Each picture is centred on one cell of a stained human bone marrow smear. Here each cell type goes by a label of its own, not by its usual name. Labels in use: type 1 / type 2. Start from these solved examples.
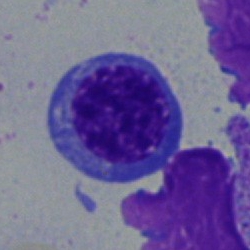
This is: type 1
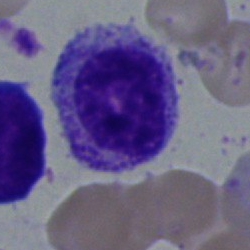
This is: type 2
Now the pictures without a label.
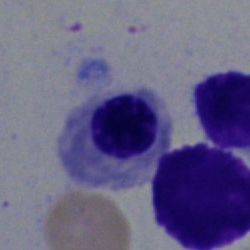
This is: type 1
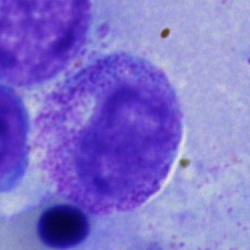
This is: type 2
